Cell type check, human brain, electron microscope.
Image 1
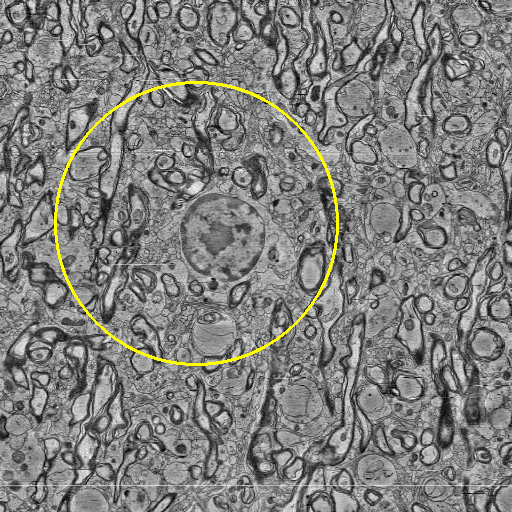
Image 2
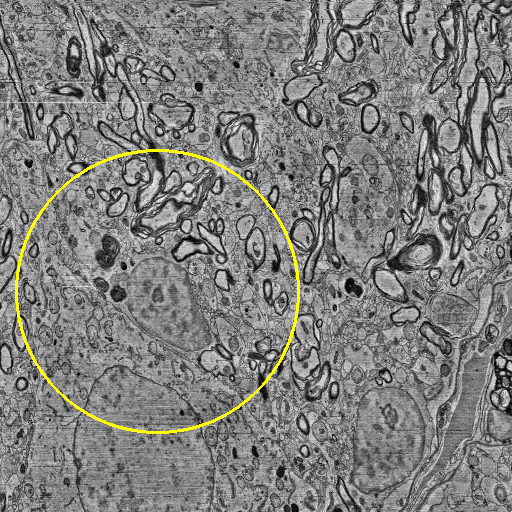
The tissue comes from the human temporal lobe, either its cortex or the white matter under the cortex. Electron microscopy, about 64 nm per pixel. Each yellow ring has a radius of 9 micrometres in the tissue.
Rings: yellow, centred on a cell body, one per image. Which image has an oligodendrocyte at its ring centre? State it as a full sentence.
The ring in Image 2 is centred on it.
